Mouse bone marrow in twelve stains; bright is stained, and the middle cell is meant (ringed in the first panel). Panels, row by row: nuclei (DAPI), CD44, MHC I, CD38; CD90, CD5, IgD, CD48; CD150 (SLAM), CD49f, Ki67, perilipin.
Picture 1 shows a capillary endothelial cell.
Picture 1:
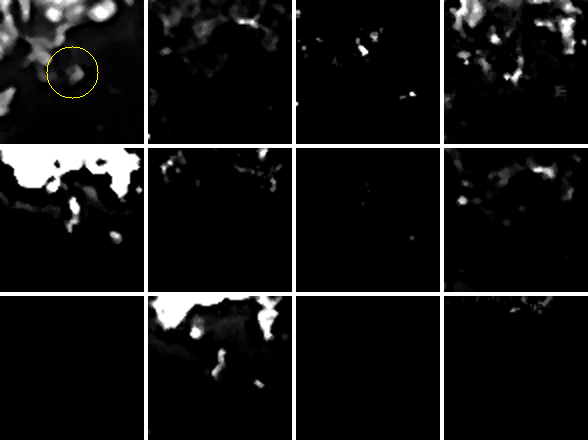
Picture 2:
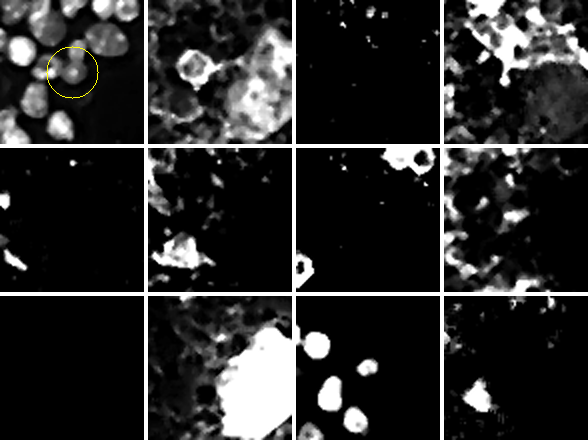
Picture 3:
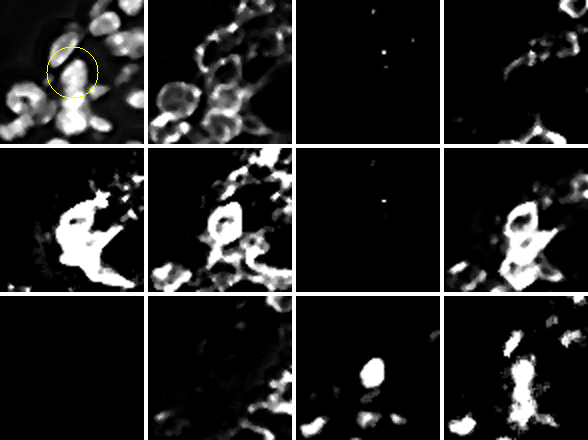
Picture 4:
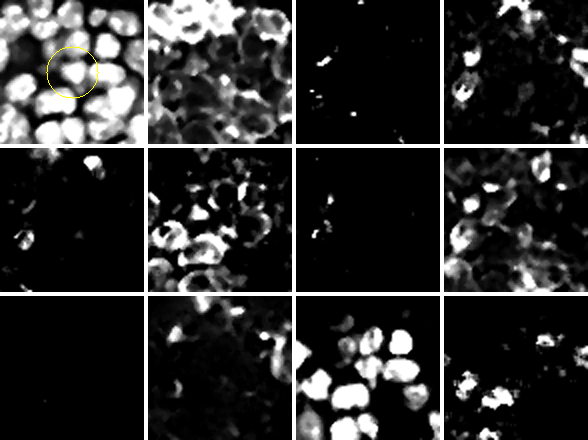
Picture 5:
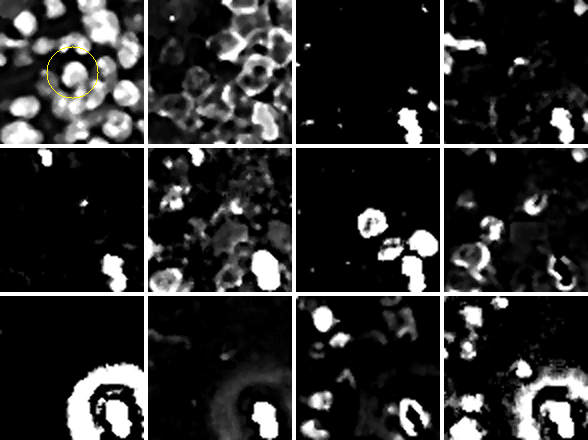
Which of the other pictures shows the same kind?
Picture 2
